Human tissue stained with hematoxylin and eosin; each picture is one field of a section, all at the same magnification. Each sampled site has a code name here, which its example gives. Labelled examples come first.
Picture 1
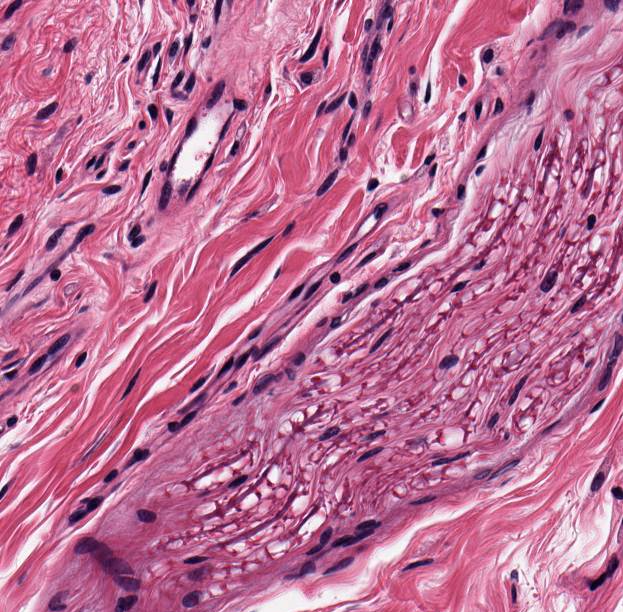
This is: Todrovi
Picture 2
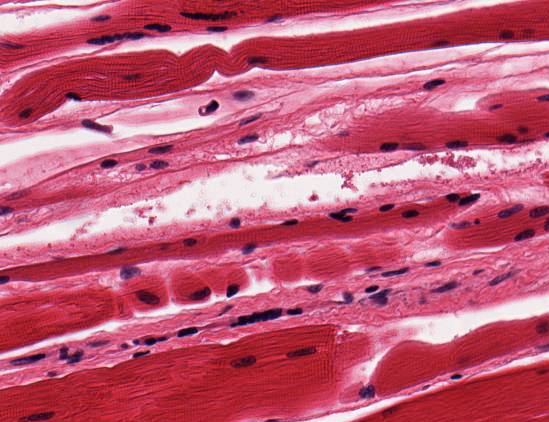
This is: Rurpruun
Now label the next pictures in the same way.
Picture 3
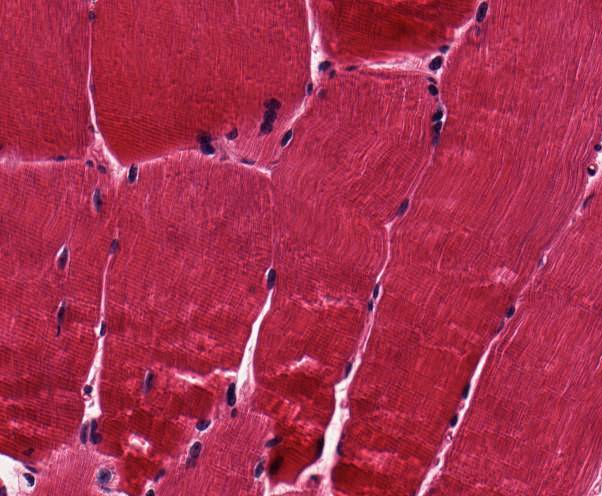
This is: Rurpruun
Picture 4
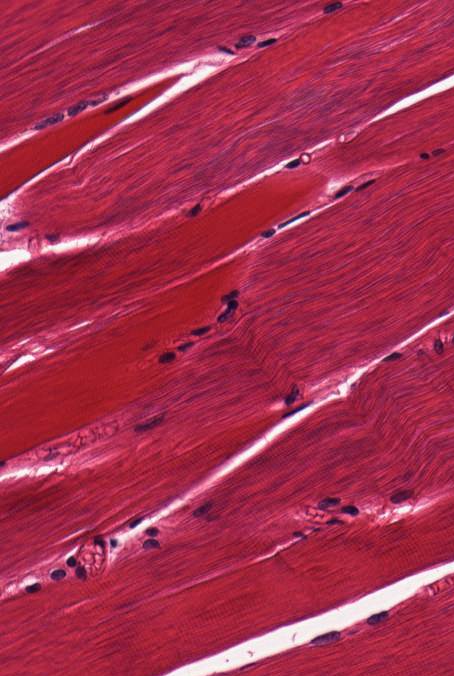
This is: Rurpruun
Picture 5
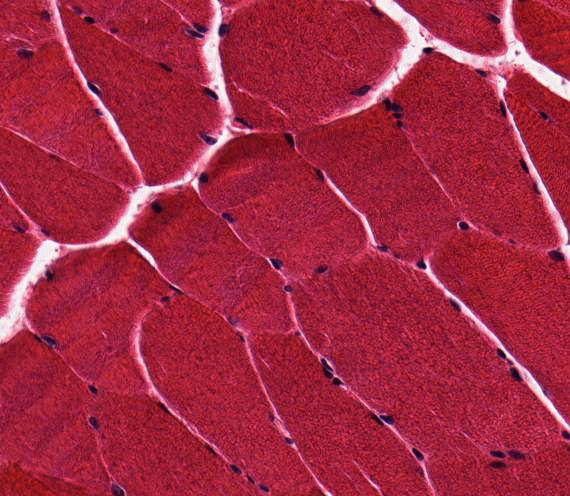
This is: Rurpruun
